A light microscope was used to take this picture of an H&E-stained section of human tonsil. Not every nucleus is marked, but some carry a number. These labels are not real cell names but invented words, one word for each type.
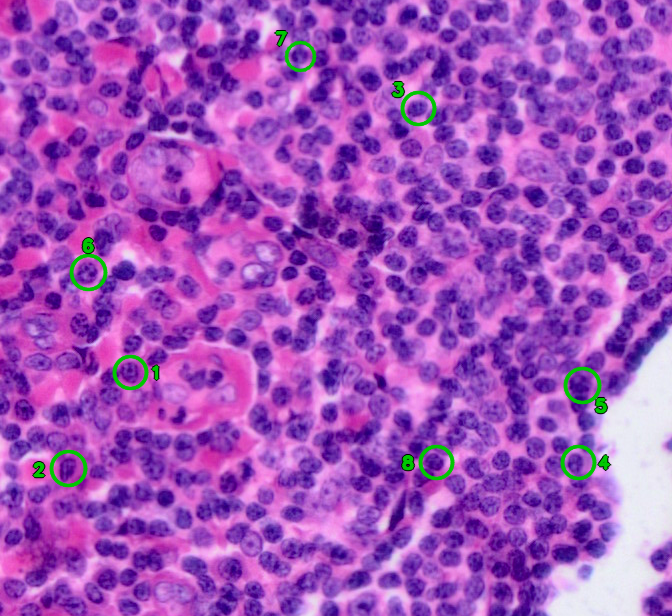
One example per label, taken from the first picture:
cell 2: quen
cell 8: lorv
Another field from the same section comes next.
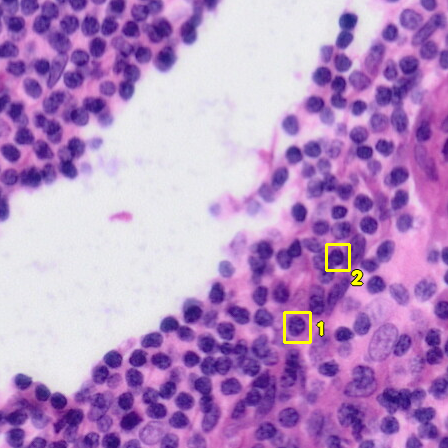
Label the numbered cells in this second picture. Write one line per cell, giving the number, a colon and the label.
1: quen
2: lorv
